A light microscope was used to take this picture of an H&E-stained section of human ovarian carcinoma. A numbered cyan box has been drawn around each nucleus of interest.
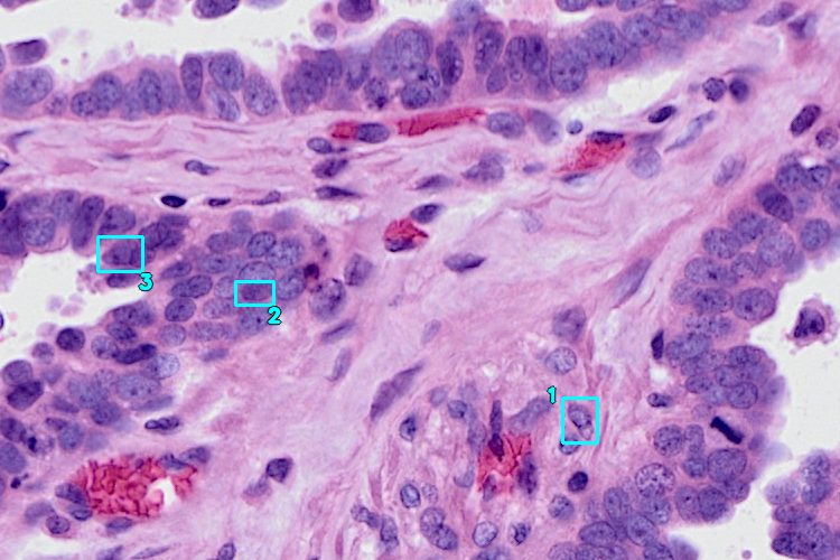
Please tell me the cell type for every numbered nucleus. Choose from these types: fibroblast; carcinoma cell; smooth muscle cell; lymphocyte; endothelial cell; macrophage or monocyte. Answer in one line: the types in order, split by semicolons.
fibroblast; carcinoma cell; carcinoma cell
